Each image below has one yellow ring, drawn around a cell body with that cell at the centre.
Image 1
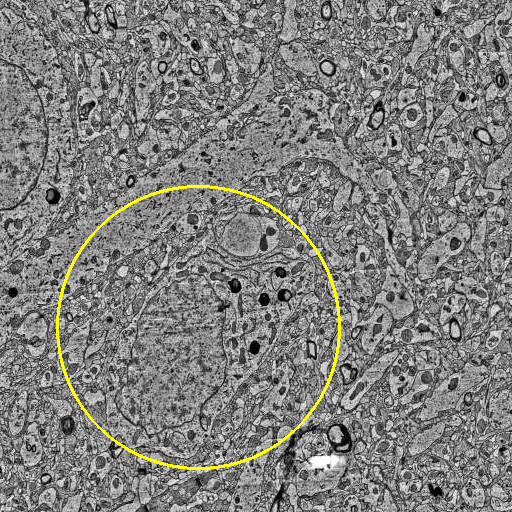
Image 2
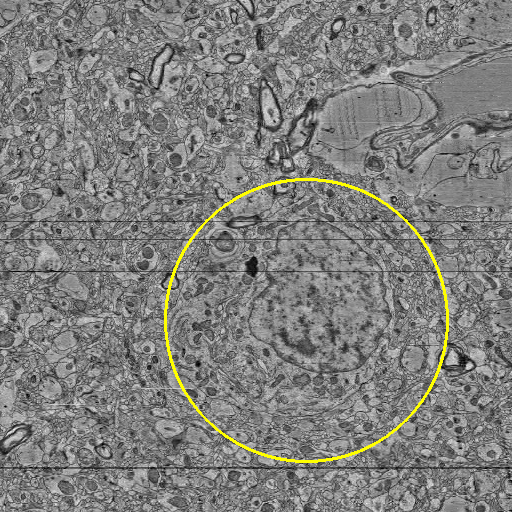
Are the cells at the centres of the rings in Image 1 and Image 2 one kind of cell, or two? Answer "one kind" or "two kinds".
one kind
